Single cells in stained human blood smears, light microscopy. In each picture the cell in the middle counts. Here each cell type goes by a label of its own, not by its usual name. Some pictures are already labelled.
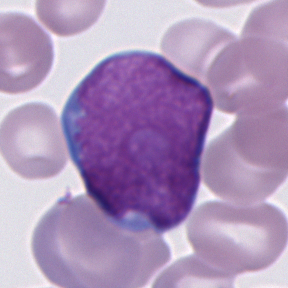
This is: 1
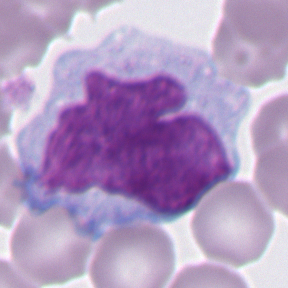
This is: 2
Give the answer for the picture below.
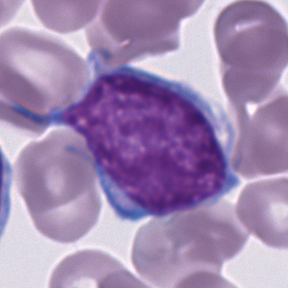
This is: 1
